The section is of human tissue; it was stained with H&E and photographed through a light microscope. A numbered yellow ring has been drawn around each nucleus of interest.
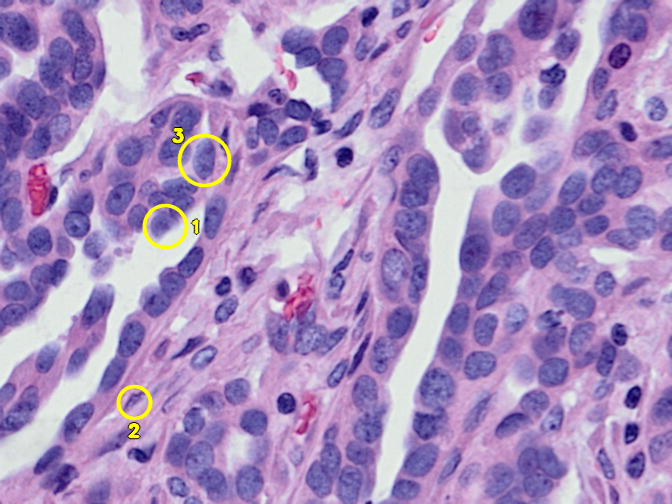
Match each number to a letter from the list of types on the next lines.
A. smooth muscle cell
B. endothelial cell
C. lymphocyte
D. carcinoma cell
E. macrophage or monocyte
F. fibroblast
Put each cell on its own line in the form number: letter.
1: D
2: F
3: D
